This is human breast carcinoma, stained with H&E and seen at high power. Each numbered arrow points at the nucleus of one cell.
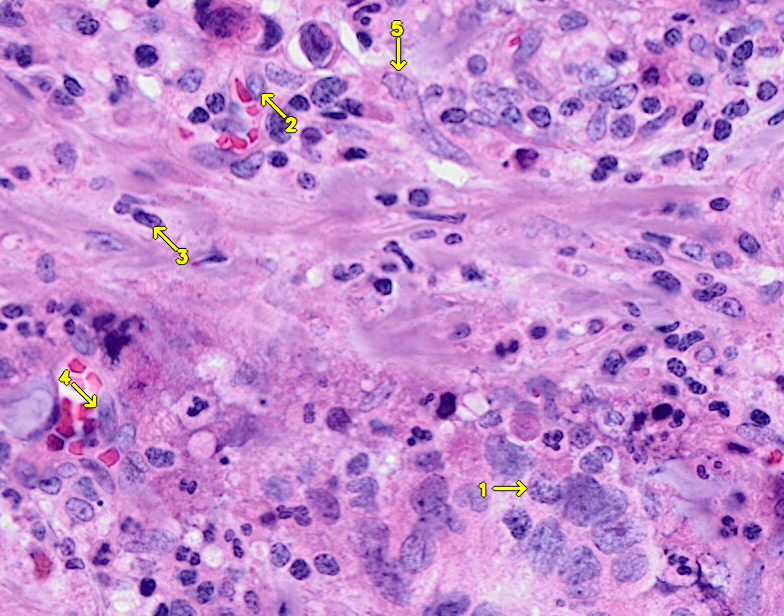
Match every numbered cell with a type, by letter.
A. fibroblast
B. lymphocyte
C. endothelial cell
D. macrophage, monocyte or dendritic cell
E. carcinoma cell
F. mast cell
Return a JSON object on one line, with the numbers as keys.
{"1": "E", "2": "C", "3": "B", "4": "C", "5": "D"}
